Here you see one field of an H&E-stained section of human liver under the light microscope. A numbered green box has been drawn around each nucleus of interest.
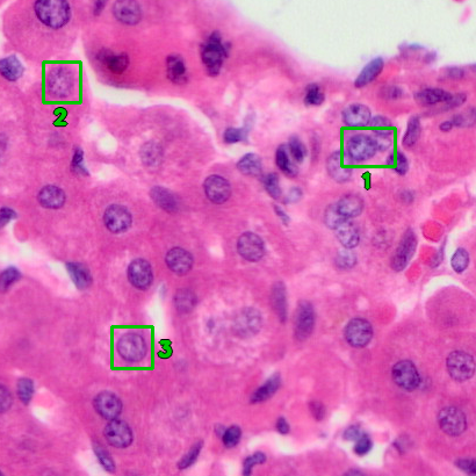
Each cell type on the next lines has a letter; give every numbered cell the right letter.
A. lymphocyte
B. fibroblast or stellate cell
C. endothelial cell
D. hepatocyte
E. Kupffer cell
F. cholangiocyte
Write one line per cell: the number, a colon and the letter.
1: F
2: D
3: D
